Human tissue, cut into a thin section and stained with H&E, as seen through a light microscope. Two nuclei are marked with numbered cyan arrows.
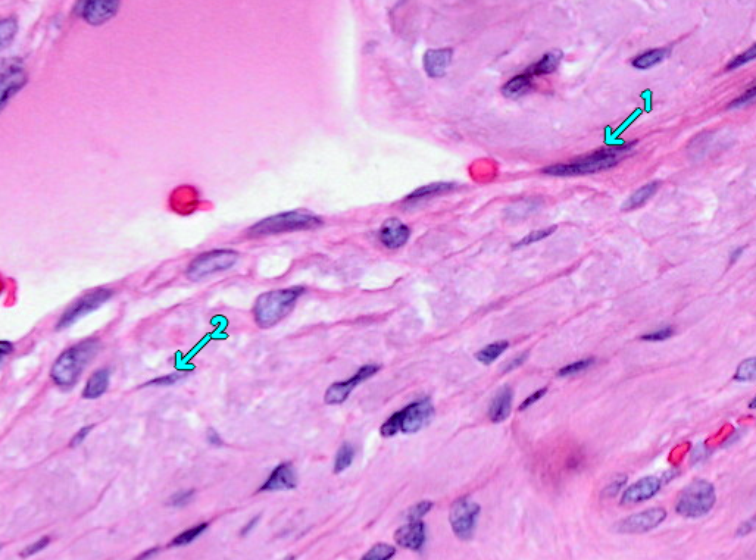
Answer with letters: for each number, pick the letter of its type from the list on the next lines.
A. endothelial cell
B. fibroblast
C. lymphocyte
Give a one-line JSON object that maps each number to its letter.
{"1": "A", "2": "B"}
